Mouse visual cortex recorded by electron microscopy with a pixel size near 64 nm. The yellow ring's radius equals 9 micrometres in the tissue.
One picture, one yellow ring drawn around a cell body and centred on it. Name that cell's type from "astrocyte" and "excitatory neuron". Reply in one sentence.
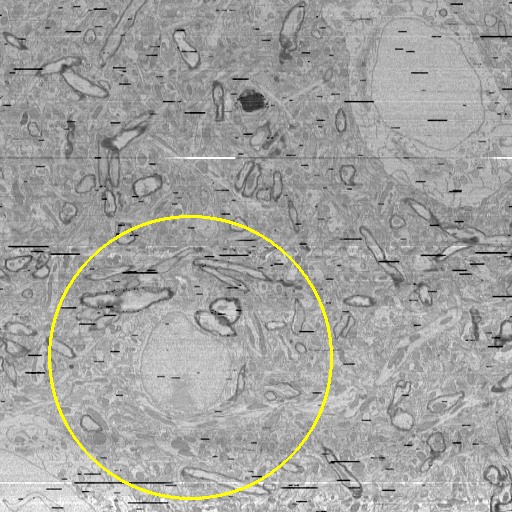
Centred in the ring is an astrocyte.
